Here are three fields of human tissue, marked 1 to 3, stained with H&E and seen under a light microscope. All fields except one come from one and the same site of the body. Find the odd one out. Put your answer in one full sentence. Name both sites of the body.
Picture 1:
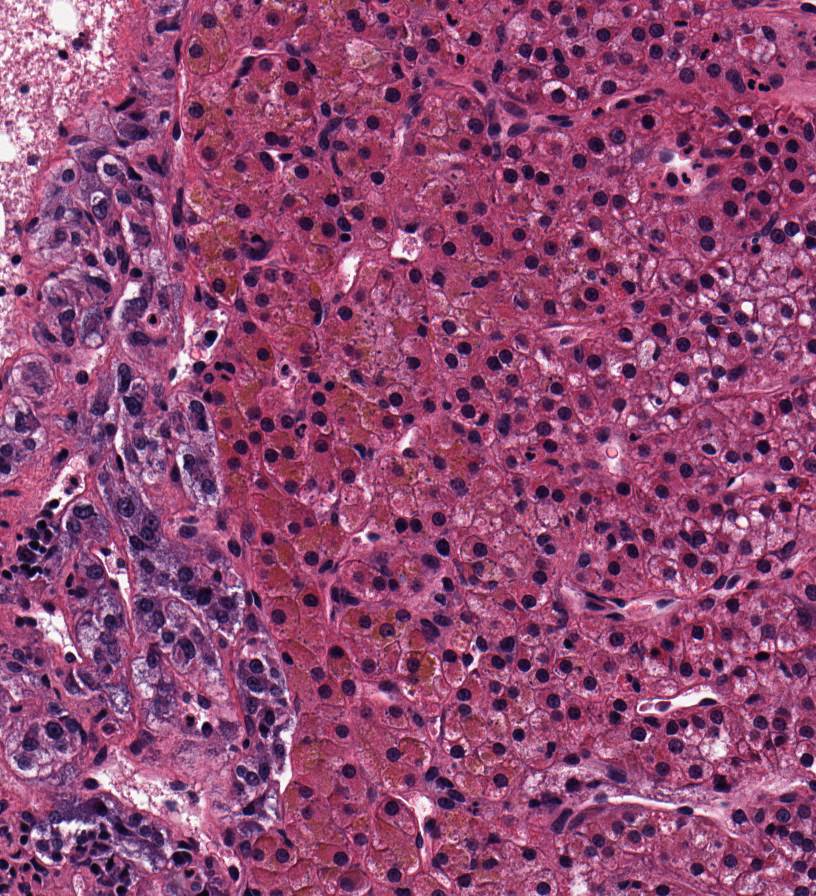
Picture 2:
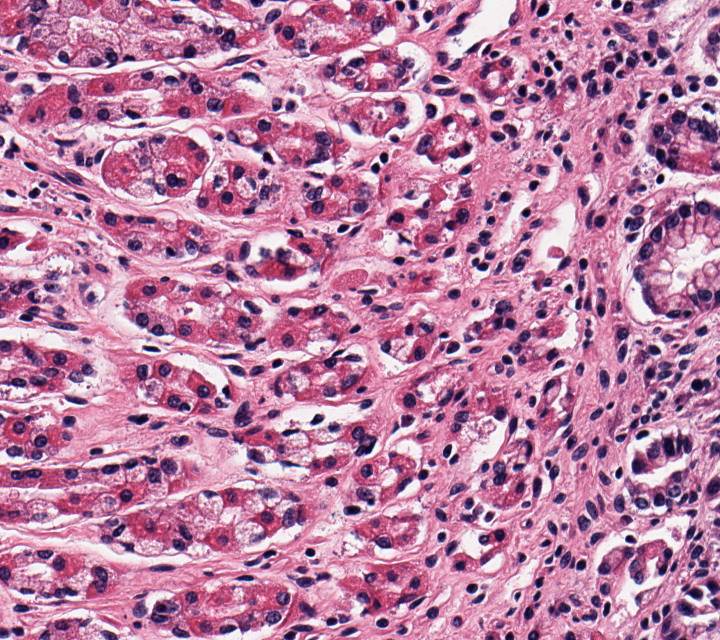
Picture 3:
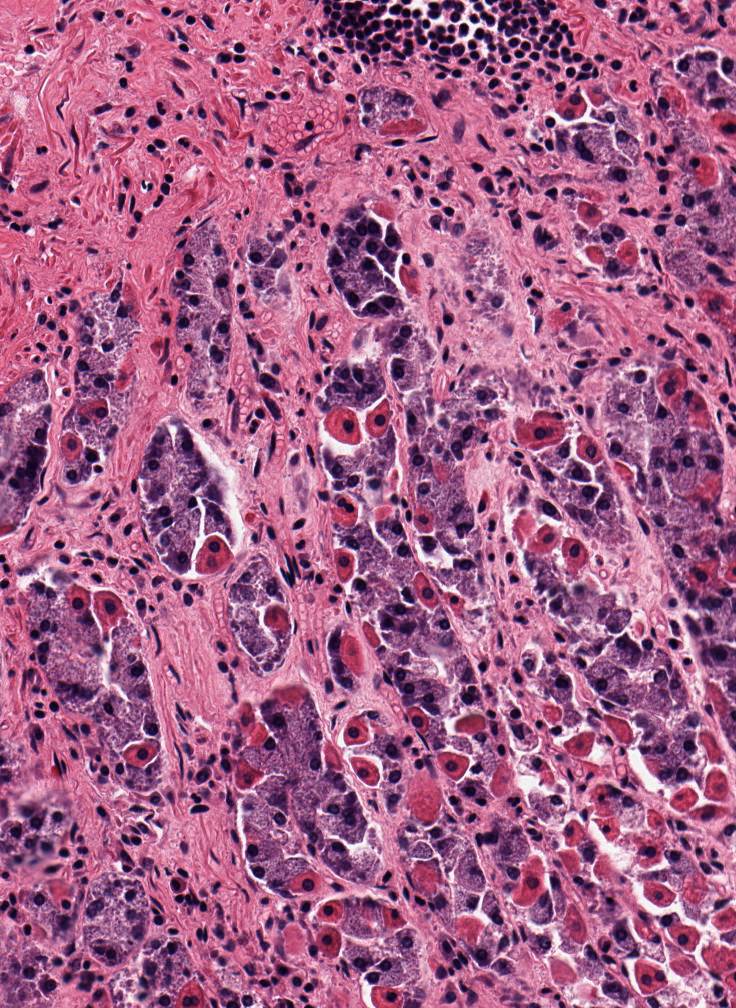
Unlike the rest, which come from the stomach, picture 1 comes from the adrenal gland.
